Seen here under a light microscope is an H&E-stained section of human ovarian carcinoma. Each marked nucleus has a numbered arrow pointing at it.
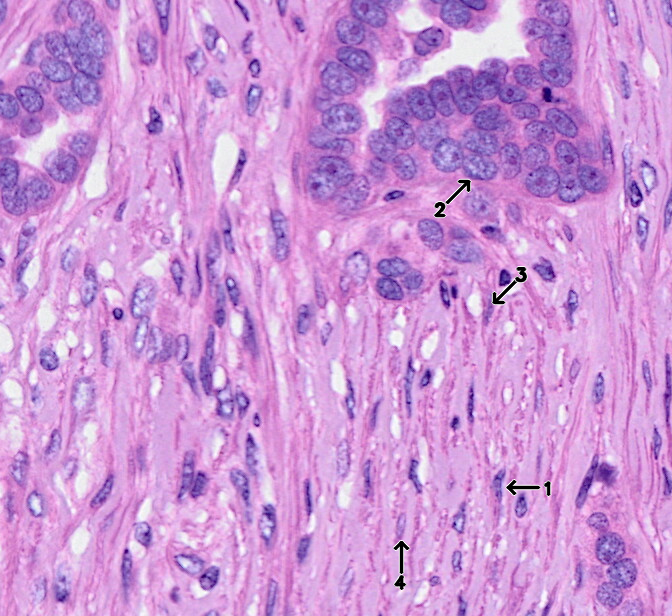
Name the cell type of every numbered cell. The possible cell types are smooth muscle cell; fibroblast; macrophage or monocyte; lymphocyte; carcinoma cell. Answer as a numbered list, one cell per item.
1. fibroblast
2. carcinoma cell
3. fibroblast
4. fibroblast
